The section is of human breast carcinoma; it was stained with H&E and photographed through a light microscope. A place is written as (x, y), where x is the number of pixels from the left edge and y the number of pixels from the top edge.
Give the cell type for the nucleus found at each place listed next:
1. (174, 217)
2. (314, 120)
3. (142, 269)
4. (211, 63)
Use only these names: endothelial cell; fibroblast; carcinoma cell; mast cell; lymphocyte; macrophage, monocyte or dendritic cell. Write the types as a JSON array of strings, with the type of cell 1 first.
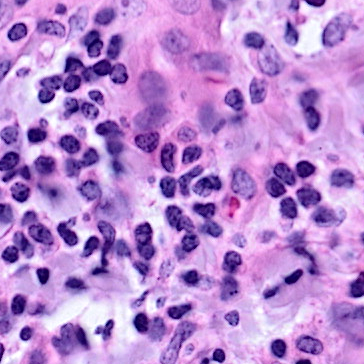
["lymphocyte", "lymphocyte", "lymphocyte", "endothelial cell"]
